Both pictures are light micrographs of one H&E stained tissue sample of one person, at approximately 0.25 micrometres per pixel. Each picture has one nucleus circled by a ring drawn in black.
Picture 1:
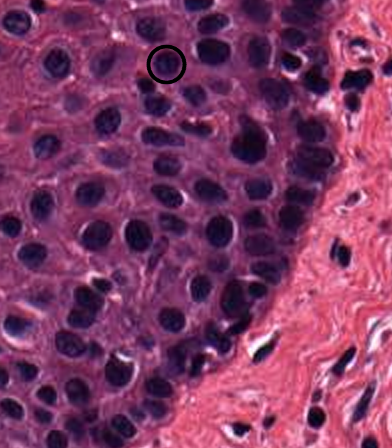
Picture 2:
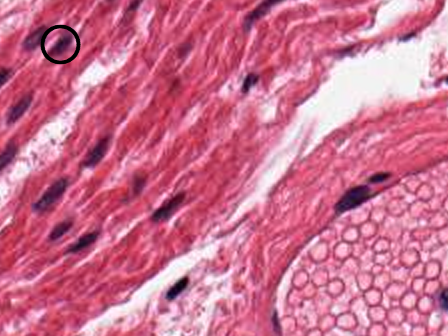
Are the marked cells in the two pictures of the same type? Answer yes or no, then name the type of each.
No, the first is a squamous epithelial cell and the second a smooth muscle cell.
